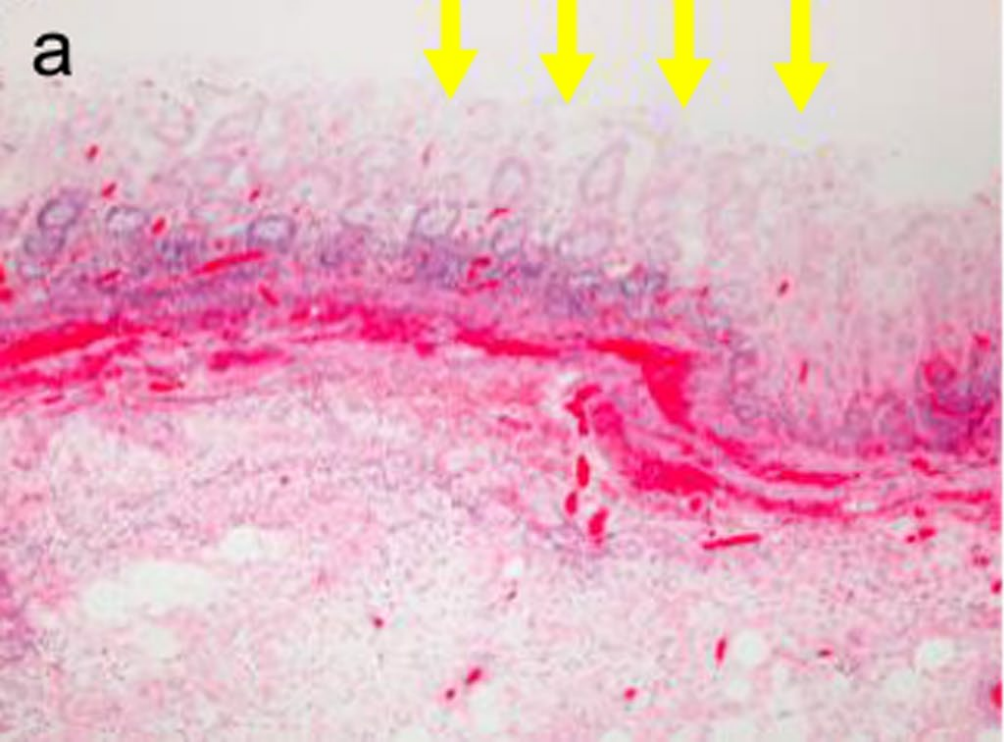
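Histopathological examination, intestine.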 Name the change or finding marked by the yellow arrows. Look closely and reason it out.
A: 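Withering necrotic gland duct. Under the arrows the glands of the upper mucosa are pale, ghost-like outlines with little purple nuclear staining. Glands further left still show a purple-staining epithelial lining.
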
